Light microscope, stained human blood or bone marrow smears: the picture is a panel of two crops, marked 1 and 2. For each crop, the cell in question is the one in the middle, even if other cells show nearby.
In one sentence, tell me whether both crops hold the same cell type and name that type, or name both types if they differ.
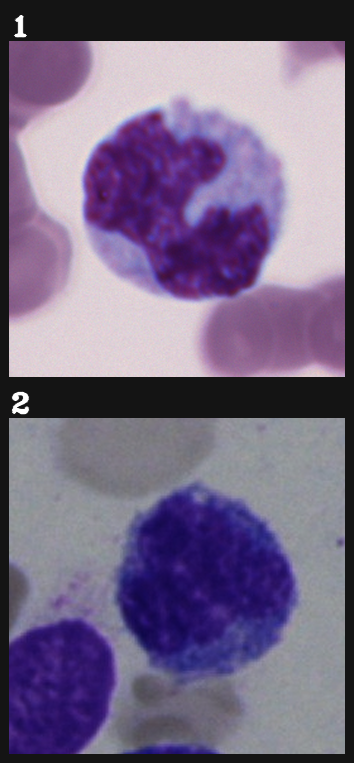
Yes, the centre of both crops is taken up by monocytes.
